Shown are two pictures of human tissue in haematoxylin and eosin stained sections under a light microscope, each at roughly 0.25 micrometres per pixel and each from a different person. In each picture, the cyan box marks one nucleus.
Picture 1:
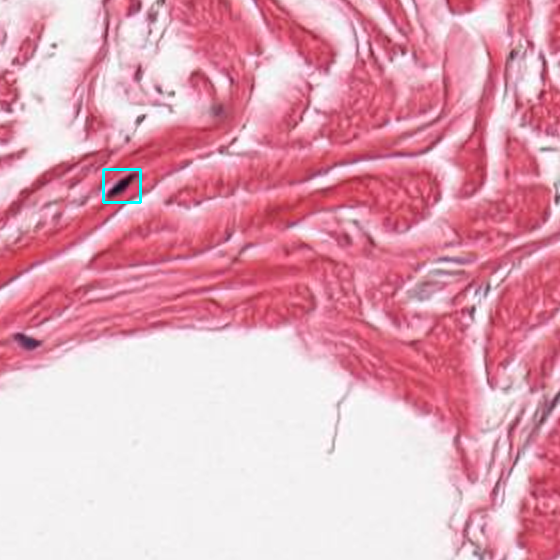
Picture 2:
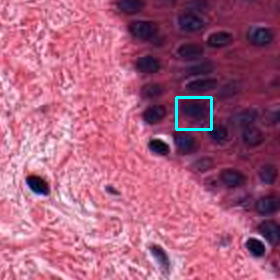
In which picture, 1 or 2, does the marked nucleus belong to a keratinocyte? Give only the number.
2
